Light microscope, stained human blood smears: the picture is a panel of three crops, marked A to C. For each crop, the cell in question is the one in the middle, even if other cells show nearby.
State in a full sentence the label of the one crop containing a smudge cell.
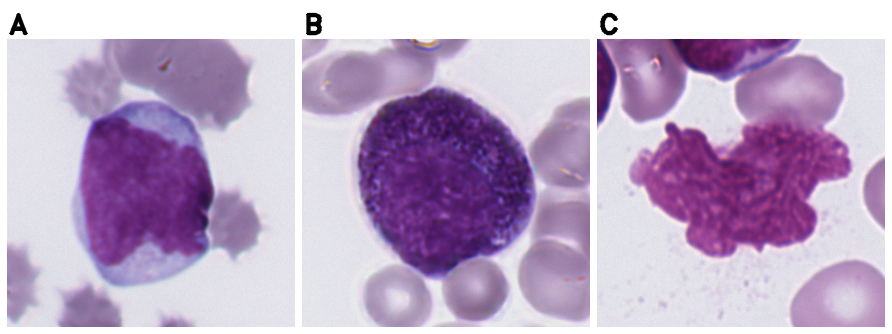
Of all the crops, crop C is the one showing a smudge cell.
